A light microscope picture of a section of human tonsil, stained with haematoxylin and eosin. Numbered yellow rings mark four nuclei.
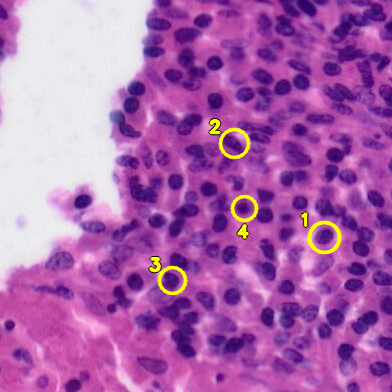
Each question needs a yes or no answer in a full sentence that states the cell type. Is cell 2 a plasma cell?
No, instead of a plasma cell, the cell with number 2 is a squamous epithelial cell.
